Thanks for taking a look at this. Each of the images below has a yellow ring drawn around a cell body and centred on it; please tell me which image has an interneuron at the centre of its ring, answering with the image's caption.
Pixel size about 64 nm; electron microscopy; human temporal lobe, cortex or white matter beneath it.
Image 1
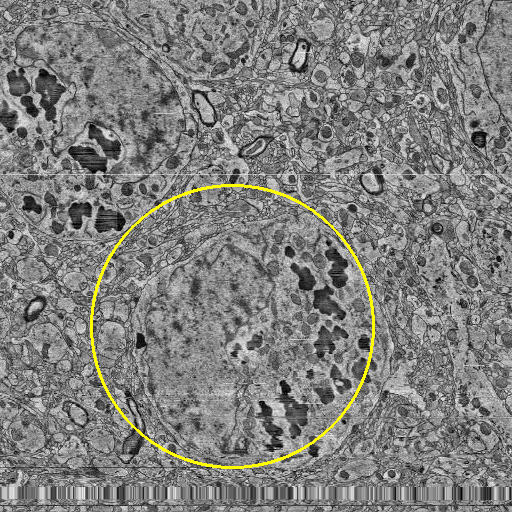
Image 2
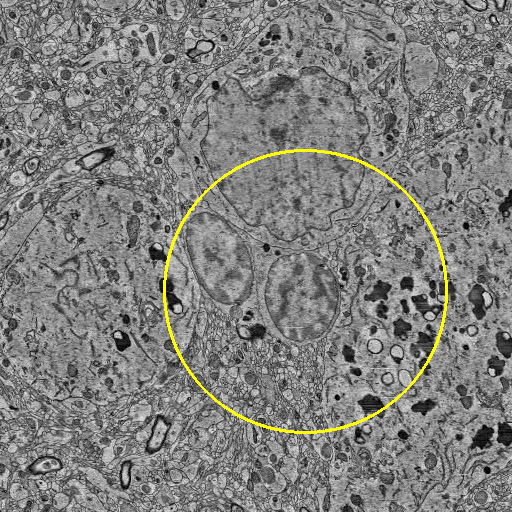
Image 1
